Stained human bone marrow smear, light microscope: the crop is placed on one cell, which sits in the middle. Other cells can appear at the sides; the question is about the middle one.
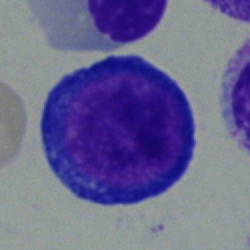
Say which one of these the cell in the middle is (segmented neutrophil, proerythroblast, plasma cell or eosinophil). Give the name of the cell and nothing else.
proerythroblast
